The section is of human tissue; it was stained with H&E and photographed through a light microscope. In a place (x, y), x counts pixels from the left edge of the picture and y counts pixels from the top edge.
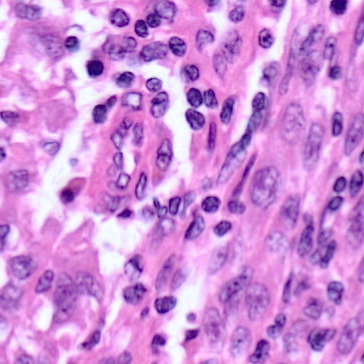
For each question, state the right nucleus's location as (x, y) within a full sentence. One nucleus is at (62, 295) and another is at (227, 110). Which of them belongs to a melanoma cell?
Between the two nuclei, the one sitting at (62, 295) belongs to a melanoma cell.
